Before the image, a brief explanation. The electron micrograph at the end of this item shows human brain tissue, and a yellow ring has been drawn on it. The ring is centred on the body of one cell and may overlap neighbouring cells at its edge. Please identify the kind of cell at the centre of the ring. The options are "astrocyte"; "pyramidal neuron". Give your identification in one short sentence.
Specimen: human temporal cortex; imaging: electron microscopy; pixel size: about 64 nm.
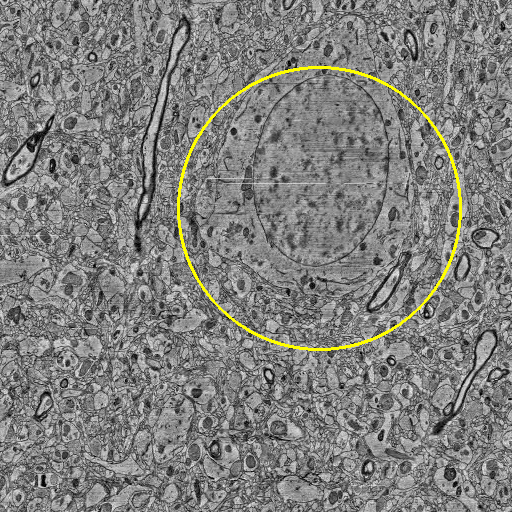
The ring has been placed around a pyramidal neuron.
